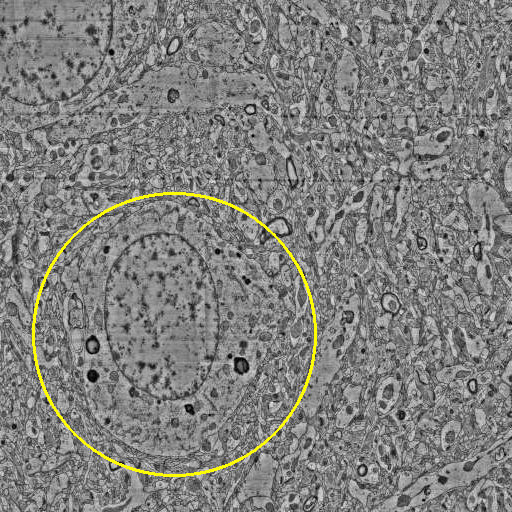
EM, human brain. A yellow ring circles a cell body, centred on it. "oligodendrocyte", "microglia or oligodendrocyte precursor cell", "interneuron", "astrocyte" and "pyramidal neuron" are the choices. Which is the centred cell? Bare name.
pyramidal neuron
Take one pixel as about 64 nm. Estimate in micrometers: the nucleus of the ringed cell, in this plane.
In this plane the nucleus measures roughly 11 by 8 micrometers.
